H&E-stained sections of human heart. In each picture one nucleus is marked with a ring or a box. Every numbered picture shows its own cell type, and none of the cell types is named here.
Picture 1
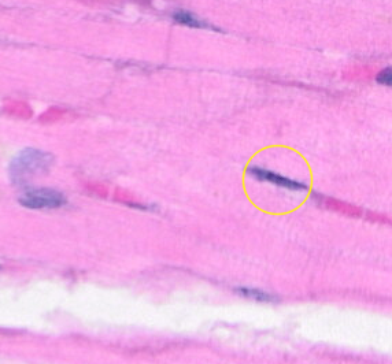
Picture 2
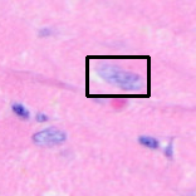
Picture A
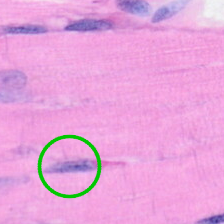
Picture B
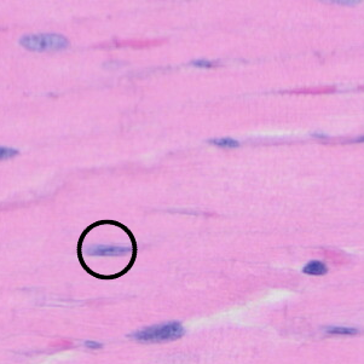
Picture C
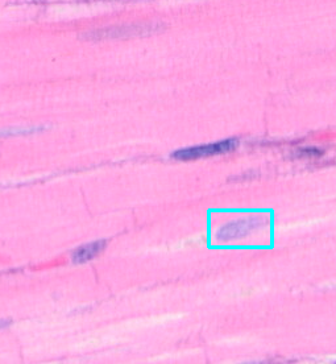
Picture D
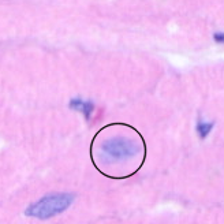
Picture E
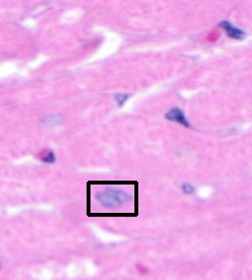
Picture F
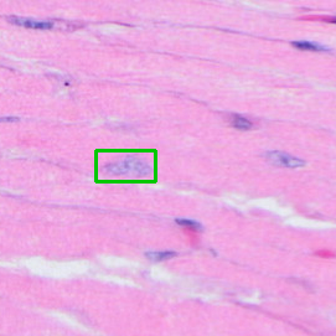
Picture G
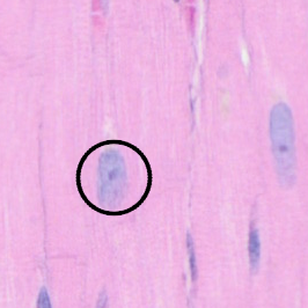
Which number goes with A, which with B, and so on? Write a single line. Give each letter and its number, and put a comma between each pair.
A 1, B 1, C 2, D 2, E 2, F 2, G 2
